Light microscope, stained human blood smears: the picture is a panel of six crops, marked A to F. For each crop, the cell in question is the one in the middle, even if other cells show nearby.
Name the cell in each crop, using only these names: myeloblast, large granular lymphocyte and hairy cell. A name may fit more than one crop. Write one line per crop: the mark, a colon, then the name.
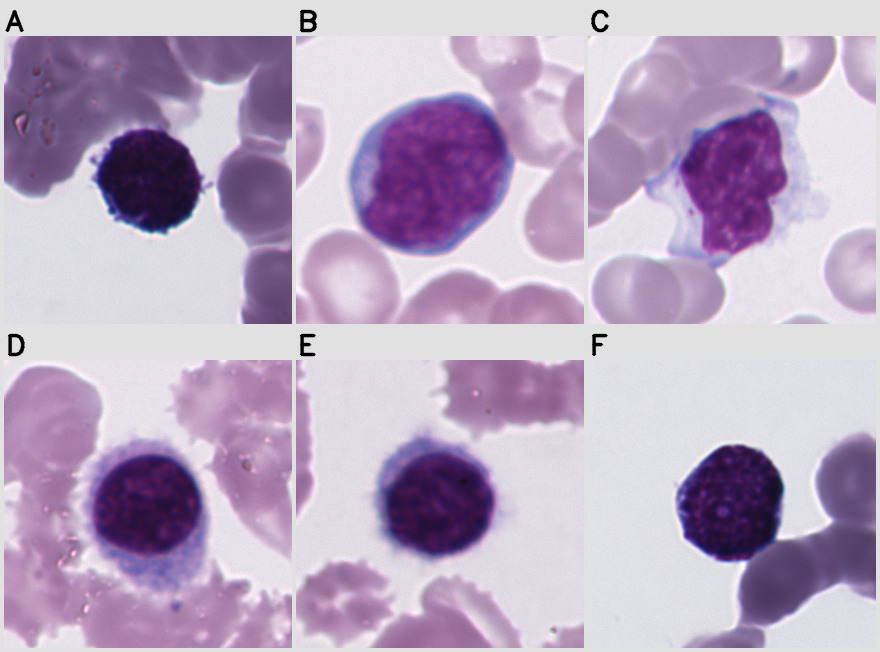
A: myeloblast
B: myeloblast
C: large granular lymphocyte
D: hairy cell
E: hairy cell
F: myeloblast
